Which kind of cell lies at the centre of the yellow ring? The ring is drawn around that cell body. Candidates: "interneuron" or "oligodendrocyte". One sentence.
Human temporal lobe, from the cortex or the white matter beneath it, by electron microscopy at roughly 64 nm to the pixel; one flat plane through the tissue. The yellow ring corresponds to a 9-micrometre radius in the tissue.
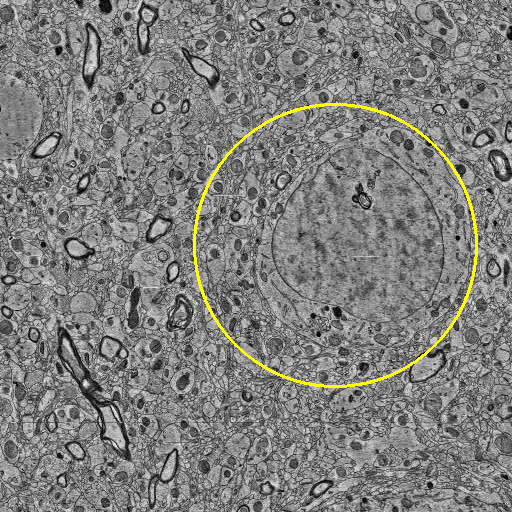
Lying at the centre of the ring is an interneuron.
